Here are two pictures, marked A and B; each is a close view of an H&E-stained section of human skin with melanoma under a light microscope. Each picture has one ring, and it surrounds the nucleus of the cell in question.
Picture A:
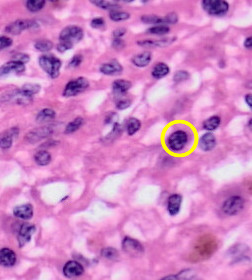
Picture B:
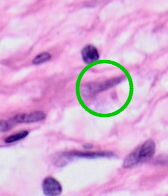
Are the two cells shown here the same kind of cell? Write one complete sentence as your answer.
No, picture A shows a plasma cell and picture B shows a “fibroblast or myofibroblast”.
